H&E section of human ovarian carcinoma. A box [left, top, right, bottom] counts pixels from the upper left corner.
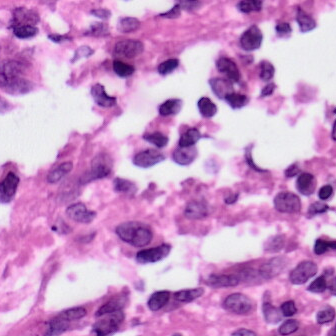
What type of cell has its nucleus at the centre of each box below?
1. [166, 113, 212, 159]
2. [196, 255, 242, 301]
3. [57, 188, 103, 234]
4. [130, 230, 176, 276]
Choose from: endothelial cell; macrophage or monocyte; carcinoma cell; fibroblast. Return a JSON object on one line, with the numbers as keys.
{"1": "carcinoma cell", "2": "carcinoma cell", "3": "macrophage or monocyte", "4": "carcinoma cell"}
